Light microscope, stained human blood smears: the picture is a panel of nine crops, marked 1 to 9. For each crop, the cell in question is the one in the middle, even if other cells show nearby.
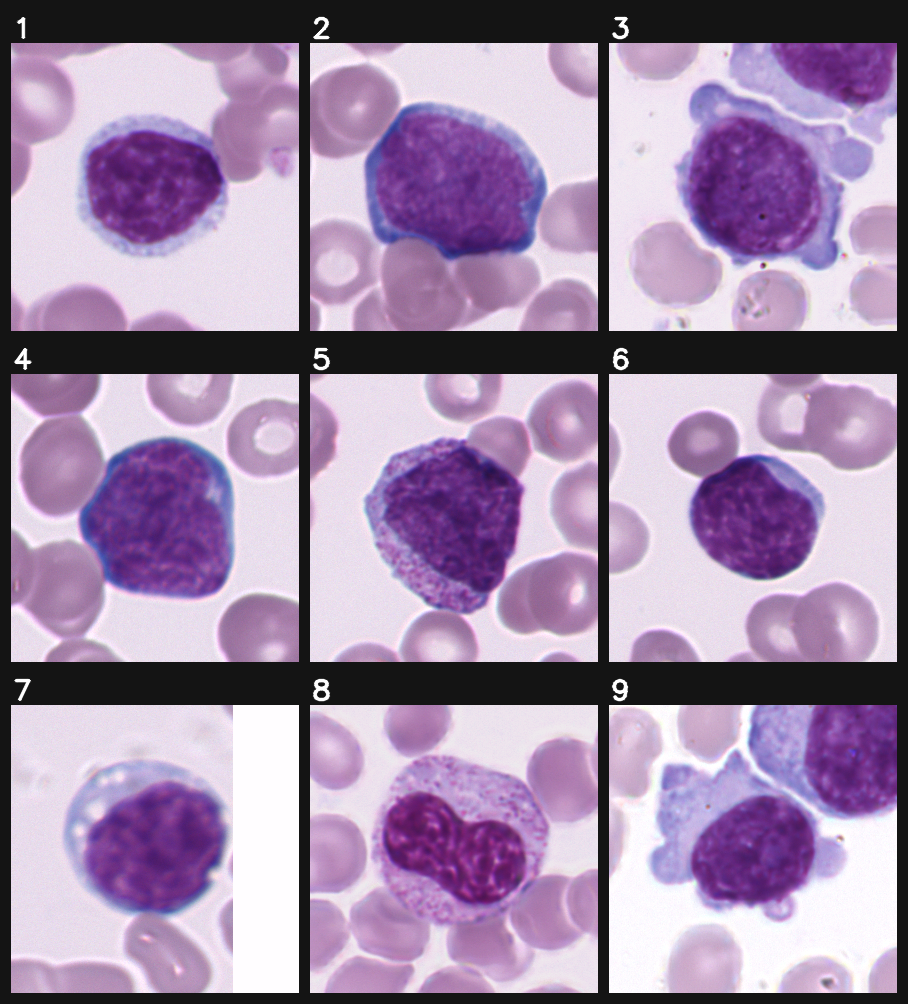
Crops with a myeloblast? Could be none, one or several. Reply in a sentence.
As for crops 2, 4, 6 and 7, they show myeloblasts.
